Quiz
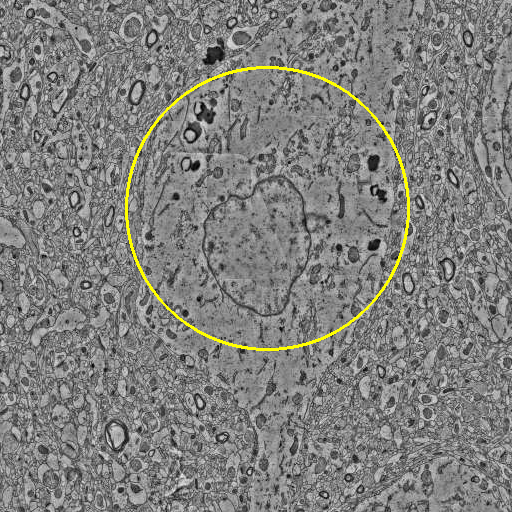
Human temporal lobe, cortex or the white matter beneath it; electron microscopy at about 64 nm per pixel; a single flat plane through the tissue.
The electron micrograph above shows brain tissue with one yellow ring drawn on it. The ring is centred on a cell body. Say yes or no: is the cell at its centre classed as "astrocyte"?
no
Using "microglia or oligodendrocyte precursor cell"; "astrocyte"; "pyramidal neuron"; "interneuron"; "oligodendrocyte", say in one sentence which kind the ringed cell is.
It is a pyramidal neuron that the ring is centred on.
